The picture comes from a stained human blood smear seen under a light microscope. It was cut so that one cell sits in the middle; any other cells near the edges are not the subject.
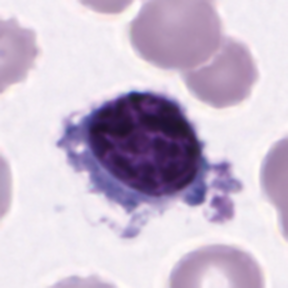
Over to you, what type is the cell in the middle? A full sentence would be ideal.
The target cell in the middle of the crop is a plasma cell.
